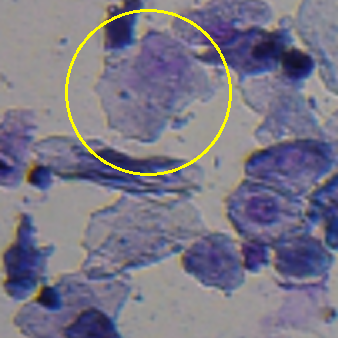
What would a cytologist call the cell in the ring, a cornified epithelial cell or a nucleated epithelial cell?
A cytologist would call it a cornified epithelial cell.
